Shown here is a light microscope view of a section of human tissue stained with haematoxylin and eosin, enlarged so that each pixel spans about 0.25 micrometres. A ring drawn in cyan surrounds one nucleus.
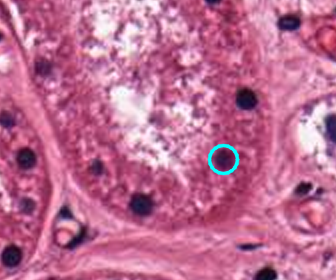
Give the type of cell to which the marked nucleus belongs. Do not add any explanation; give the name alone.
proximal tubule cell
